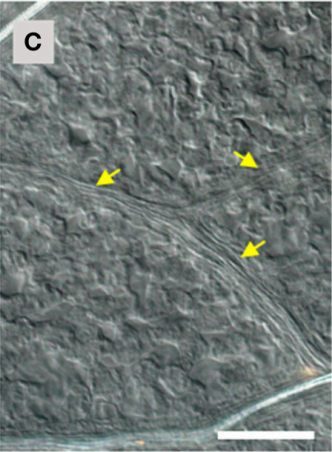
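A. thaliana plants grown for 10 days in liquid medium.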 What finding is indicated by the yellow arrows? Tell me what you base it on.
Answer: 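Veins without visible xylem vessels. The arrowed strands are bundles of thin, elongated parallel cell files. The arrowed strands lack the bright, banded thickened walls of the vein at the bottom edge.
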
